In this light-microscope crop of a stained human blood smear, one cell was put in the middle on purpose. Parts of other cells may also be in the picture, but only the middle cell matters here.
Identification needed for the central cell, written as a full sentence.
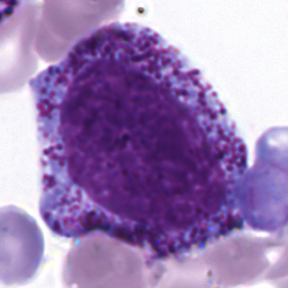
The middle position in this crop is taken by a promyelocyte.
